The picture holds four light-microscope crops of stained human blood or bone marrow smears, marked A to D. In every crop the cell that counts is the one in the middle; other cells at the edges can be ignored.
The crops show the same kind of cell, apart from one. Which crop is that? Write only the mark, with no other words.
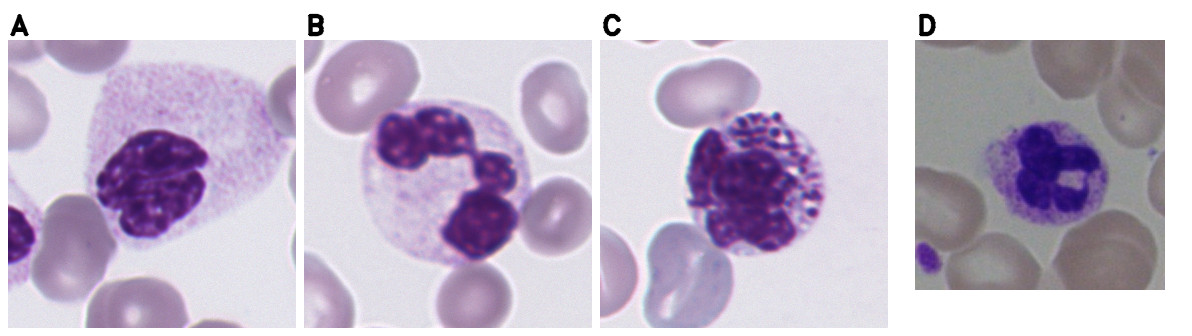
C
